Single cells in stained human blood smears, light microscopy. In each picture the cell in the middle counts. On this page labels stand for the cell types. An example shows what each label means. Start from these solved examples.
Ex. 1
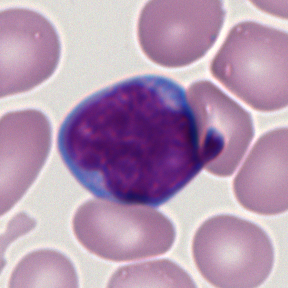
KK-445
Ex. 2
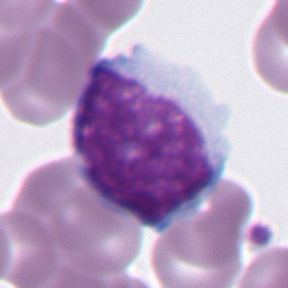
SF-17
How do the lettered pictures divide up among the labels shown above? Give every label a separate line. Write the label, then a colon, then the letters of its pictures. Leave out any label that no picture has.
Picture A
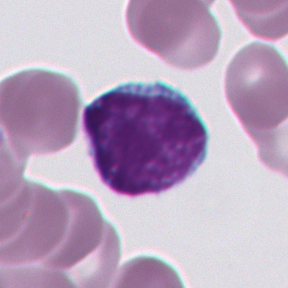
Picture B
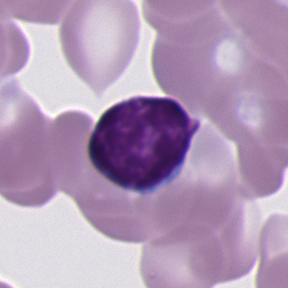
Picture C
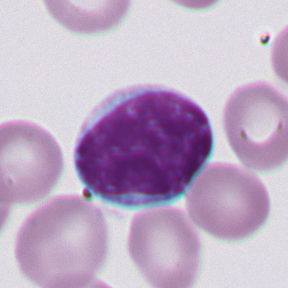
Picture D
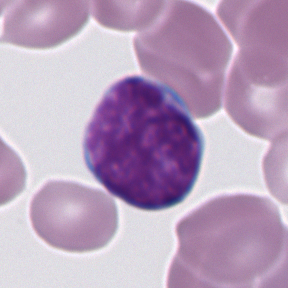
KK-445: A, B, C, D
